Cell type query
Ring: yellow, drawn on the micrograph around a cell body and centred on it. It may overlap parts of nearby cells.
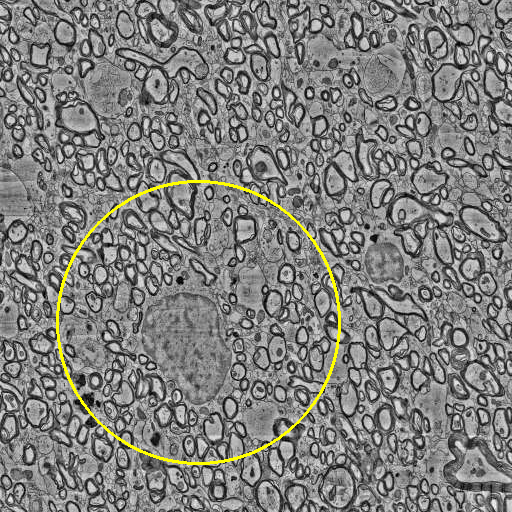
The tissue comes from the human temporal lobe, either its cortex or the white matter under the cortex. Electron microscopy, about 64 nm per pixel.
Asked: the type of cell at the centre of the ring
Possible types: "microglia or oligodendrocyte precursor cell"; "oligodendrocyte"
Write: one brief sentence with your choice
The ring marks an oligodendrocyte.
